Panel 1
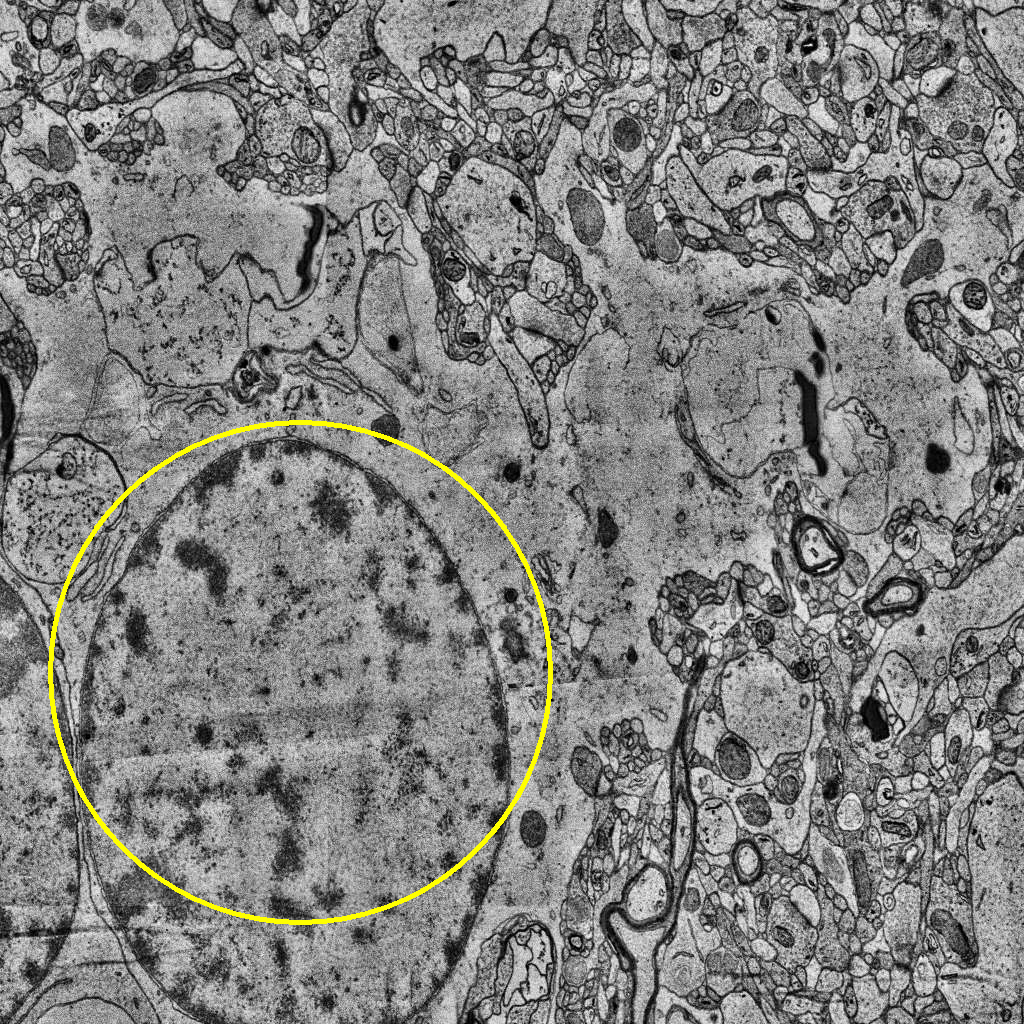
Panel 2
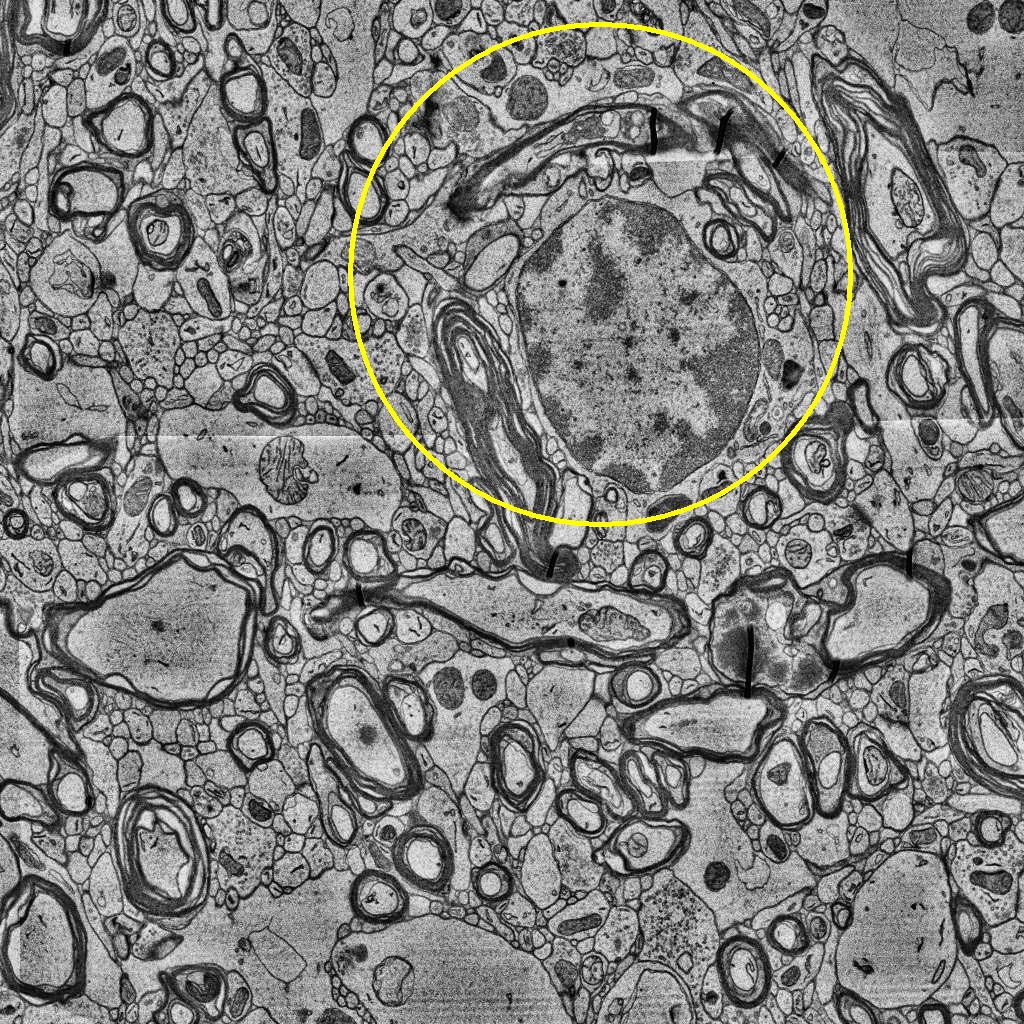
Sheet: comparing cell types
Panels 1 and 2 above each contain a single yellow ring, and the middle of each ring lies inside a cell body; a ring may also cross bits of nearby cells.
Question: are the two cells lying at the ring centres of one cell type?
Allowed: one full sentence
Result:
No, the cells at the ring centres in Panel 1 and Panel 2 are of two types.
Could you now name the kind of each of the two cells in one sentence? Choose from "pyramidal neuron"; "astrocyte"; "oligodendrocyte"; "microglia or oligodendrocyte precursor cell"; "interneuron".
The first ring encloses an astrocyte; the second ring encloses a microglial cell or oligodendrocyte precursor cell.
